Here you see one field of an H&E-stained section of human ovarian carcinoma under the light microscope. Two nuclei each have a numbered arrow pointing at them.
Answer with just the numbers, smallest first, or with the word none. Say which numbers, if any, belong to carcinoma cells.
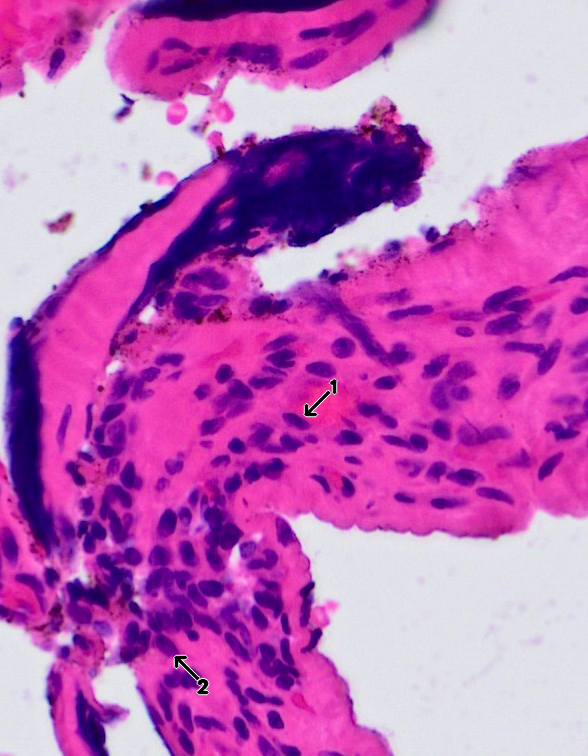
2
